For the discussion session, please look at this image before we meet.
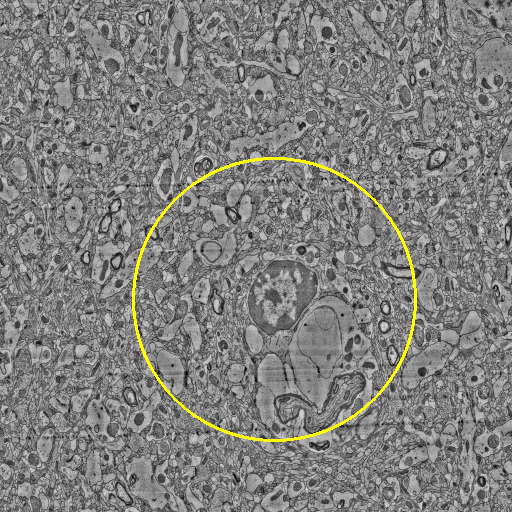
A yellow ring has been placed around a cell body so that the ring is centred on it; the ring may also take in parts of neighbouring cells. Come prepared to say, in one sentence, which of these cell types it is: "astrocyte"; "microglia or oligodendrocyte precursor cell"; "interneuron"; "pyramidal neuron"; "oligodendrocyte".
The cell centred in the ring is a microglial cell or oligodendrocyte precursor cell.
